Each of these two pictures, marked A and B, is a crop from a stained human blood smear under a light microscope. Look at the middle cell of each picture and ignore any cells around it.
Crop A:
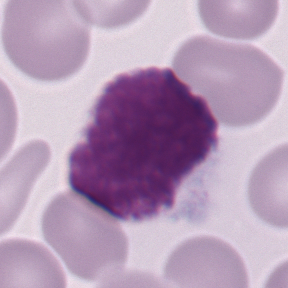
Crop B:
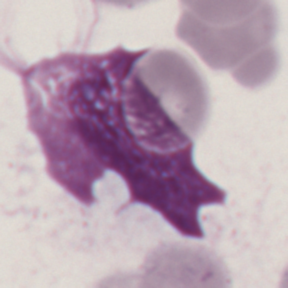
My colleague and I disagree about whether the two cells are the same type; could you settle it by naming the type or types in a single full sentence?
Yes, both crops show smudge cells in the middle.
